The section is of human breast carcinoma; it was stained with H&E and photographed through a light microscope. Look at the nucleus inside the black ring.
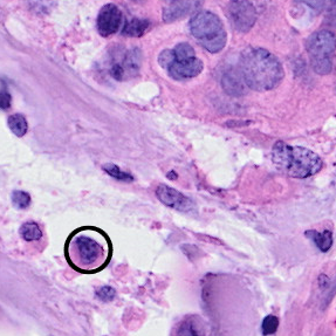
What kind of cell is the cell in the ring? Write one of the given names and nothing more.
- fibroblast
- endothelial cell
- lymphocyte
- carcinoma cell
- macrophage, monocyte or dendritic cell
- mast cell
mast cell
